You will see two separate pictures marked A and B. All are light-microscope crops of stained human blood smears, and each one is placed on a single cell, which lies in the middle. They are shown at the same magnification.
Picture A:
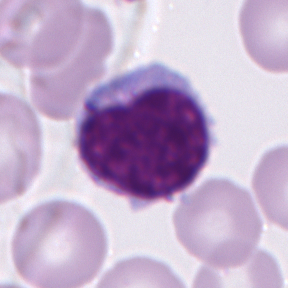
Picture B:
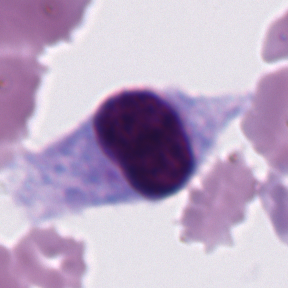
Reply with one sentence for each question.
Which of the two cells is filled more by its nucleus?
Of the two, the nucleus in picture A makes up the greater part of its cell.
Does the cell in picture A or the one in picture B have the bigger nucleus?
The nucleus in picture A is larger, with about 1.5 times the area of the one in picture B.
